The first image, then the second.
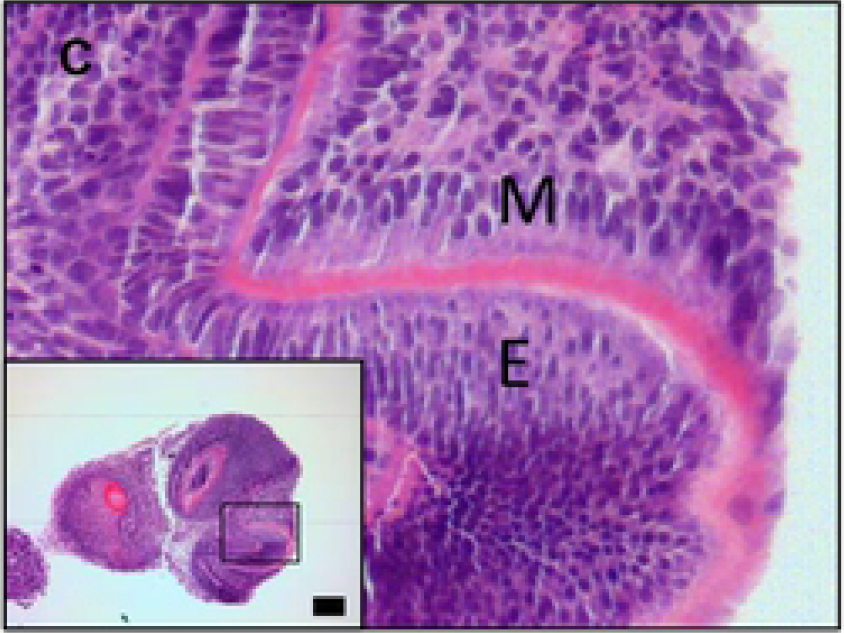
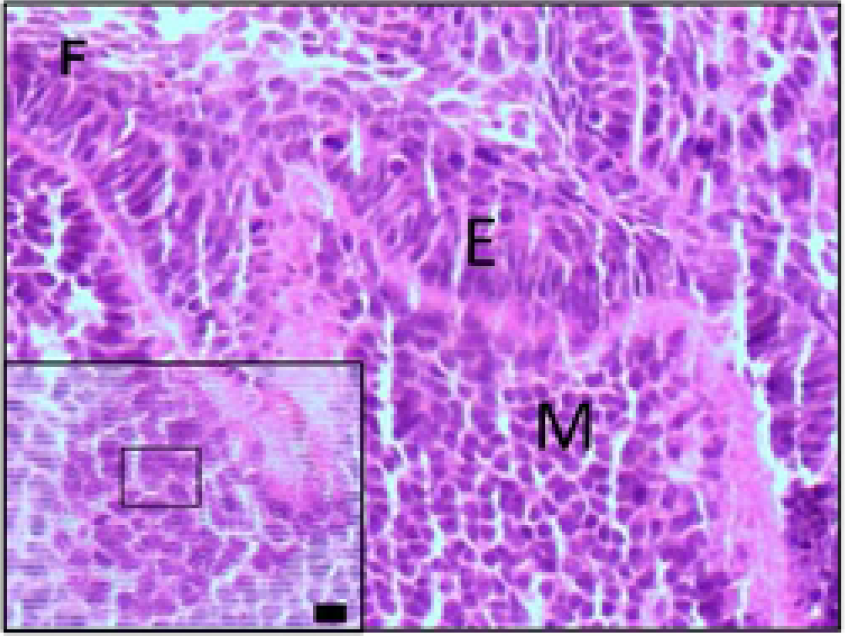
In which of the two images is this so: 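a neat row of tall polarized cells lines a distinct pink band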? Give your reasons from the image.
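The first image. First image: a bright pink band is lined on one side by a regular row of tall columnar cells.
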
